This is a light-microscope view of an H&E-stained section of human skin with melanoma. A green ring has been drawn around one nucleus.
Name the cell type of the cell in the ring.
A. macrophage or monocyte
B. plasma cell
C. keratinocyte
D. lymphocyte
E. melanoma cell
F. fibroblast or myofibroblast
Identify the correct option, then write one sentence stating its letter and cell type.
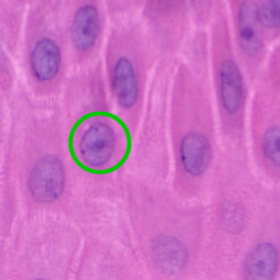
Among the choices, option C is correct, the cell in the ring being a keratinocyte.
